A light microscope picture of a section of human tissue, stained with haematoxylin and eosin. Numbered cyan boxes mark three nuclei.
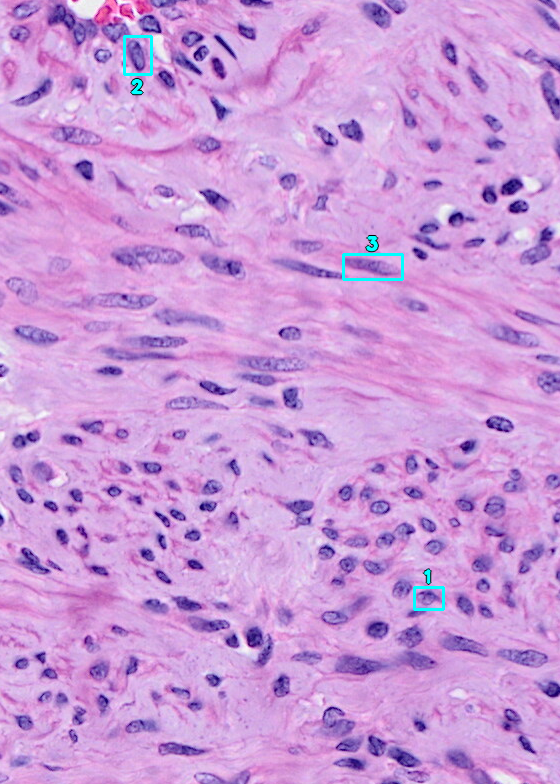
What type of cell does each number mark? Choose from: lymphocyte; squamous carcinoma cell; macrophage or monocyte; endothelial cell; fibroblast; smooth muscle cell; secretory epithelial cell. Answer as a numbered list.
1. smooth muscle cell
2. endothelial cell
3. smooth muscle cell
